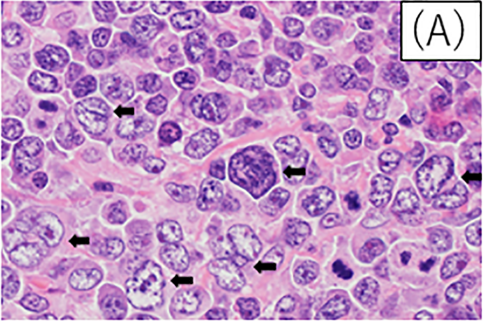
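Diffuse sheet of large tumor cells with little intervening pink stroma. Many cells have large round to irregular nuclei with pale, vesicular chromatin and distinct nucleoli, some much larger than their neighbours, and a few dark mitotic figures are scattered among them.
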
